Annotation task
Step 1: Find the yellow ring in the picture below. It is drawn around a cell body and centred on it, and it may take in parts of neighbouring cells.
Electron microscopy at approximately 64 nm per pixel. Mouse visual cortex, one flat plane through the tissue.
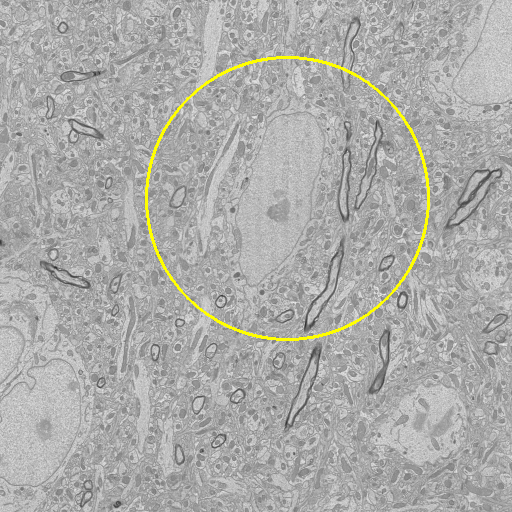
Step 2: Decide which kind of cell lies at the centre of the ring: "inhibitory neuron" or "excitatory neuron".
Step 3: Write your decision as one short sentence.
The kind of cell at the ring's centre is an inhibitory neuron.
